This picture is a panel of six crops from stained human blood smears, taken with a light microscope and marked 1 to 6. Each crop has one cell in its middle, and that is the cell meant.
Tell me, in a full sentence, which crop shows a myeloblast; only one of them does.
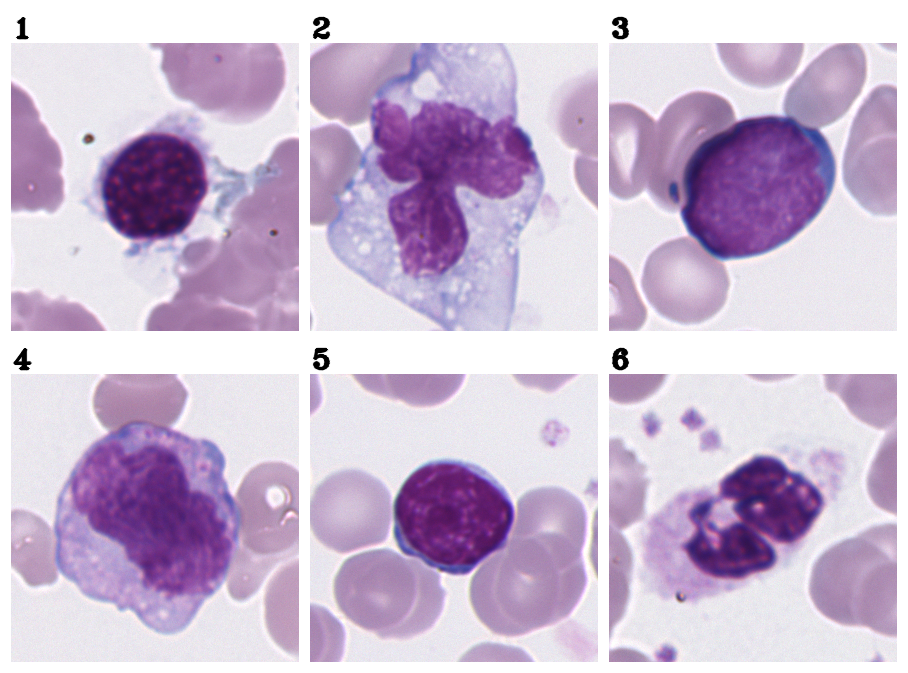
Crop 3 is the crop containing a myeloblast.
